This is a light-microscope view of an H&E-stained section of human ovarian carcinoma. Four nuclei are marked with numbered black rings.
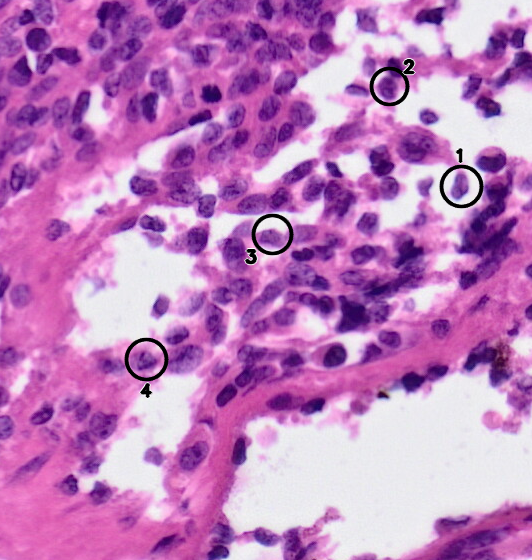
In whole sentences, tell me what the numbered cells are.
Cells 1, 2 and 3 are carcinoma cells. Cell 4 is a macrophage or monocyte.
